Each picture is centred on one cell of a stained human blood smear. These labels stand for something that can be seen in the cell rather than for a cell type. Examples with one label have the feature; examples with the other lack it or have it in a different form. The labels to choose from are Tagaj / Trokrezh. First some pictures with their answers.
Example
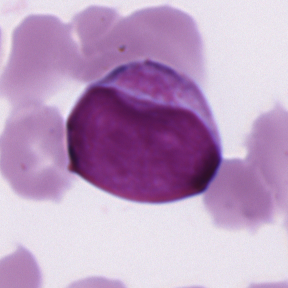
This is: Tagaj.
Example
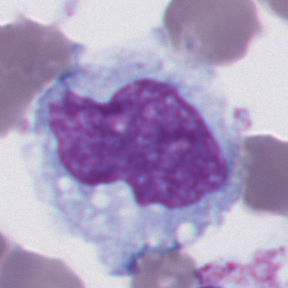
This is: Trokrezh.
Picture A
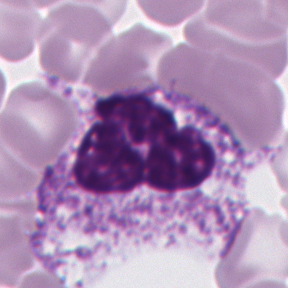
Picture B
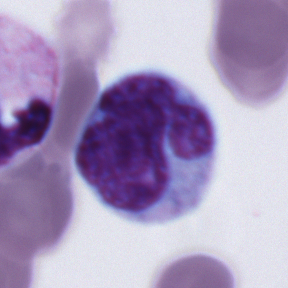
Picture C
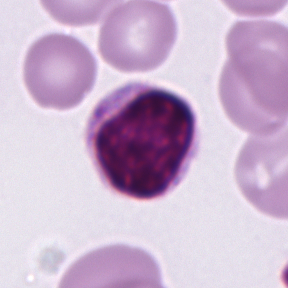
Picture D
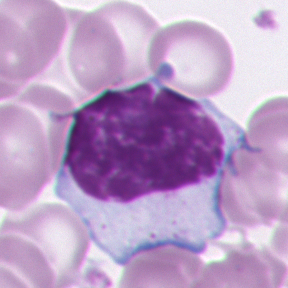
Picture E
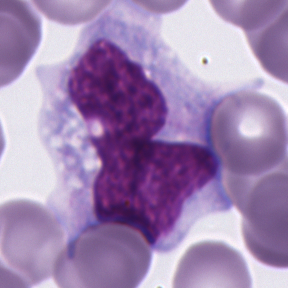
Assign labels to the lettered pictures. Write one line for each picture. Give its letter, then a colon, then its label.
A: Trokrezh.
B: Tagaj.
C: Tagaj.
D: Trokrezh.
E: Trokrezh.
